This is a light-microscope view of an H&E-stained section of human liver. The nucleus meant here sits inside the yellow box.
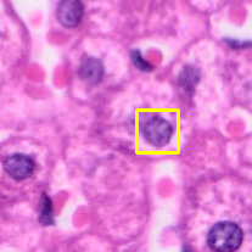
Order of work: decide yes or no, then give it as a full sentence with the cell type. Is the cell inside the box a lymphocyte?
No, put down a hepatocyte for the cell inside the box, not a lymphocyte.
